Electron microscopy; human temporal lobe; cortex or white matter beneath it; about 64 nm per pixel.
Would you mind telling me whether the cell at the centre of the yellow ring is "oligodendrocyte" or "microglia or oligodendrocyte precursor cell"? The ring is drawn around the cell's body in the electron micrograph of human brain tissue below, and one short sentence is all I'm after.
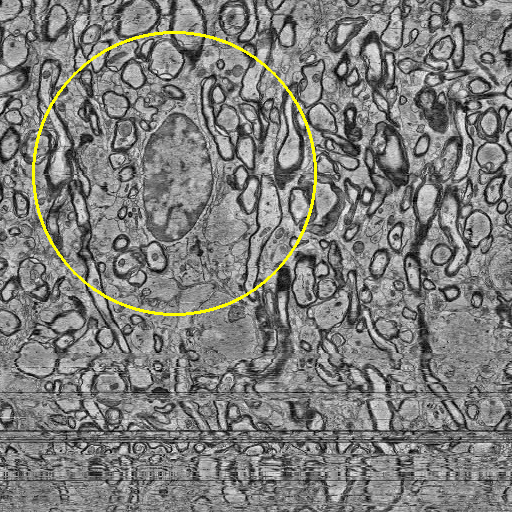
In the centre of the ring lies a microglial cell or oligodendrocyte precursor cell.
